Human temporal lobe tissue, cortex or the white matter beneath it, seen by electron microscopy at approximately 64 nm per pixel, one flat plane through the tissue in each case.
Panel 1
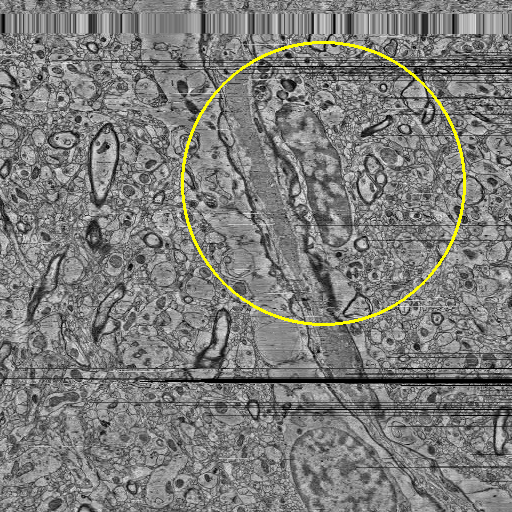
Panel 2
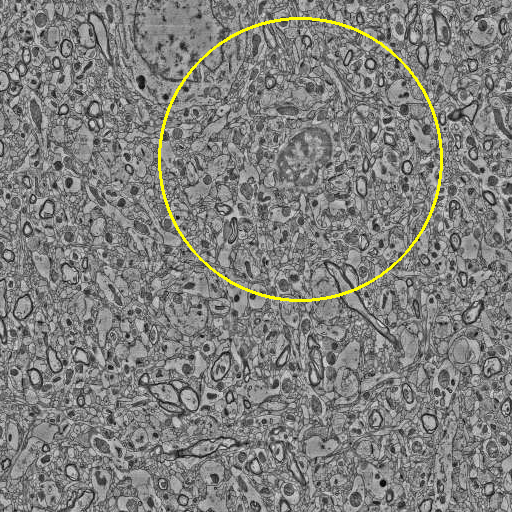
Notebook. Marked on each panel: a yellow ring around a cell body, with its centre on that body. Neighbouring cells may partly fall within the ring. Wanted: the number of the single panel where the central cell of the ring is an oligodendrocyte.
2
